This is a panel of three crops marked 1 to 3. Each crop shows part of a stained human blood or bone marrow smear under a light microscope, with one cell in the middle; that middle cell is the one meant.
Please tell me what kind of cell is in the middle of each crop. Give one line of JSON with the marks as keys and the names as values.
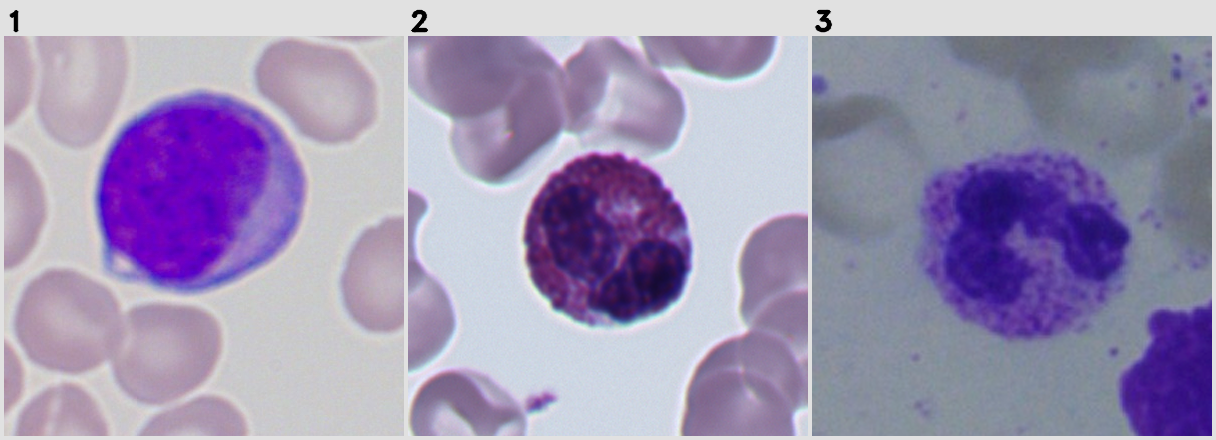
{"1": "blast", "2": "eosinophil", "3": "neutrophil"}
